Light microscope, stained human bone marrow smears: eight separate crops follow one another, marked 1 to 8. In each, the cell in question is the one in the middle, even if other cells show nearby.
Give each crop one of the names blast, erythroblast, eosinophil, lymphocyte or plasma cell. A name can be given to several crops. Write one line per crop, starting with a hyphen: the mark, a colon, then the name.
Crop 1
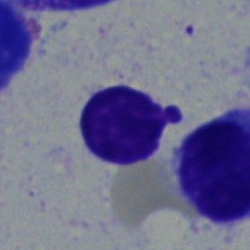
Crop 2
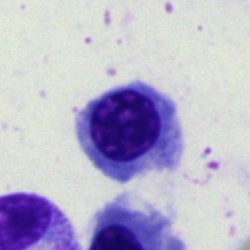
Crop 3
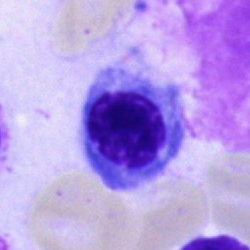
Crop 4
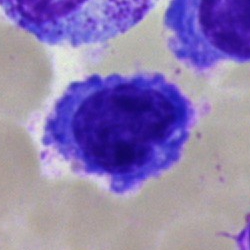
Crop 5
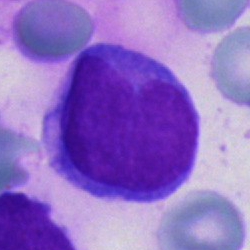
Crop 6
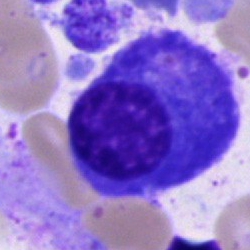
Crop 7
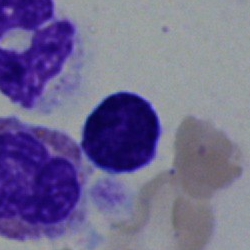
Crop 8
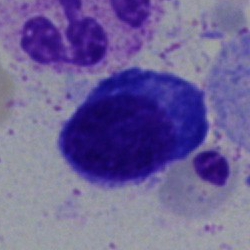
- 1: lymphocyte
- 2: erythroblast
- 3: erythroblast
- 4: plasma cell
- 5: blast
- 6: plasma cell
- 7: lymphocyte
- 8: plasma cell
